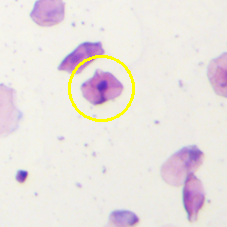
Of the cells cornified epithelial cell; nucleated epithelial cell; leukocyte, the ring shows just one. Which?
The ring shows a nucleated epithelial cell.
